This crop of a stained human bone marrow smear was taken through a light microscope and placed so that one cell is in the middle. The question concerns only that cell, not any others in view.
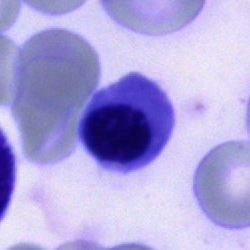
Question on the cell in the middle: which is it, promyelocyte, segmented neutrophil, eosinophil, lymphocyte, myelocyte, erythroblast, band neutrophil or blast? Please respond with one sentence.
The middle of this crop holds an erythroblast.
